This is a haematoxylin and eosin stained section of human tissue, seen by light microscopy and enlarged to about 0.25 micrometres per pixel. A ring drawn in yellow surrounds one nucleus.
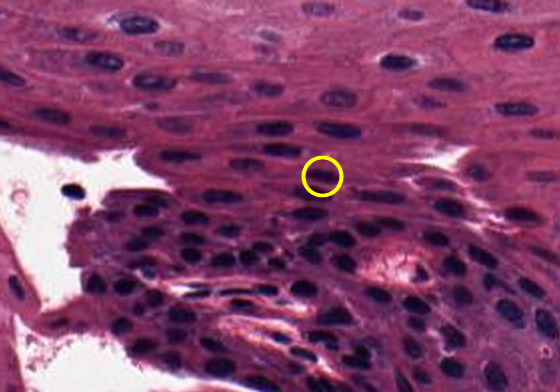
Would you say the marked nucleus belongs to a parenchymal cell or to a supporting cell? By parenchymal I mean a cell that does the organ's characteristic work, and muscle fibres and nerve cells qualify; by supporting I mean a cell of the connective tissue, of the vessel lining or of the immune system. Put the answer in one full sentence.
The marked nucleus is housed in a parenchymal cell, namely a squamous epithelial cell.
